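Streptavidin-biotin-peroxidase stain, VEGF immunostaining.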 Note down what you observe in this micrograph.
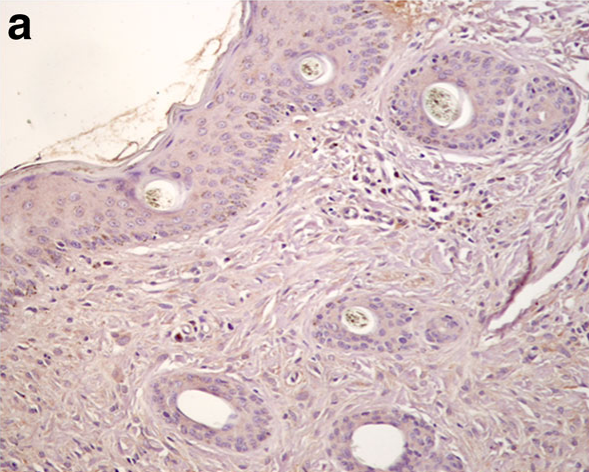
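Skin with stratified squamous epidermis at the surface and several hair follicles cut in cross section in the underlying dermis. The follicles appear as rings of layered epithelial cells with oval nuclei around central lumina, some holding hair shaft material. Between the follicles lies loose dermal connective tissue with spindle-shaped fibroblasts, which are not stained. Staining overall is pale, with only faint brownish tint in the epithelium.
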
